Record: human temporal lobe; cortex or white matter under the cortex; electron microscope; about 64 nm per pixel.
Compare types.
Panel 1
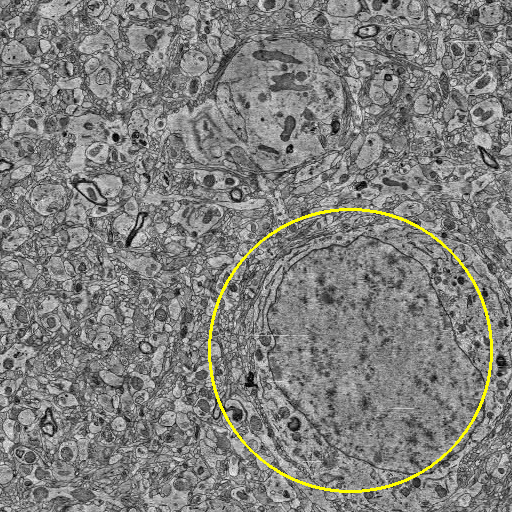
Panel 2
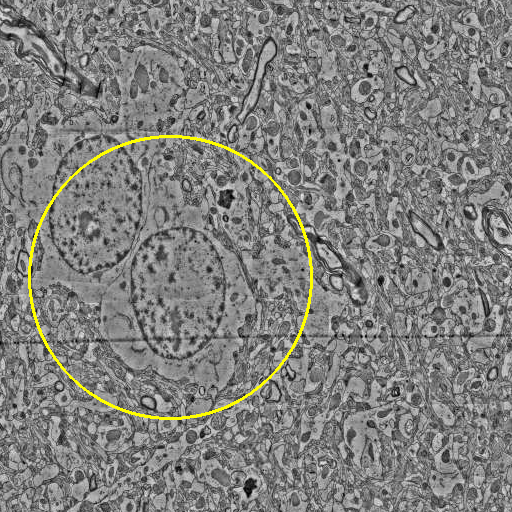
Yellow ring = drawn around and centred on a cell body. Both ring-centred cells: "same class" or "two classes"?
two classes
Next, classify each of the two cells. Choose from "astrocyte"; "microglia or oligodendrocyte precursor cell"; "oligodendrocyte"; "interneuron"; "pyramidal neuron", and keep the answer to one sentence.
In the first picture it is a pyramidal neuron; in the second it is an astrocyte.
